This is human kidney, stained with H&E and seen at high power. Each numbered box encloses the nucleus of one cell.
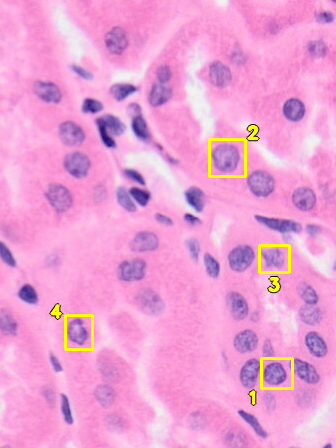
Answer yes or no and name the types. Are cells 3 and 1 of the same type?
Yes, both are collecting duct cells.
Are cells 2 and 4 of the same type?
Yes, both are proximal tubule cells.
